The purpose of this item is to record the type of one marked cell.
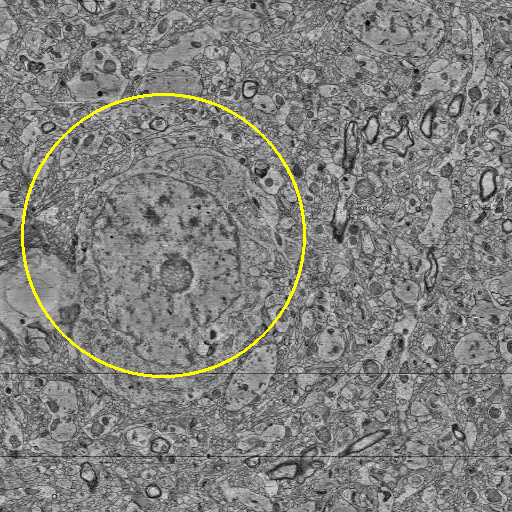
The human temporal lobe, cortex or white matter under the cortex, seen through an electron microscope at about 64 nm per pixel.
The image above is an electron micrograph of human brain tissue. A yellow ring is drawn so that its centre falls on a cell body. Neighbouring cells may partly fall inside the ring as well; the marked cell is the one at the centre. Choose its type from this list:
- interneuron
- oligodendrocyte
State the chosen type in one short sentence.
What the ring marks here is an interneuron.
